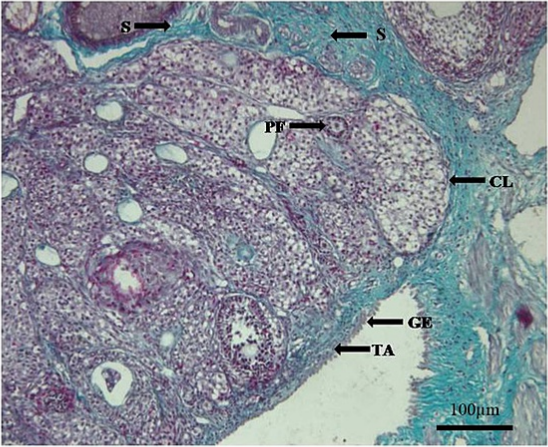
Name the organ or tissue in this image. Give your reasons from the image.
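Large lobulated masses of pale, polygonal cells with clear cytoplasm fill most of the section. Small round follicle-like structures with a central cell and a surrounding cell layer are embedded in the tissue. A green-stained fibrous connective tissue band borders the organ's surface. So: ovary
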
